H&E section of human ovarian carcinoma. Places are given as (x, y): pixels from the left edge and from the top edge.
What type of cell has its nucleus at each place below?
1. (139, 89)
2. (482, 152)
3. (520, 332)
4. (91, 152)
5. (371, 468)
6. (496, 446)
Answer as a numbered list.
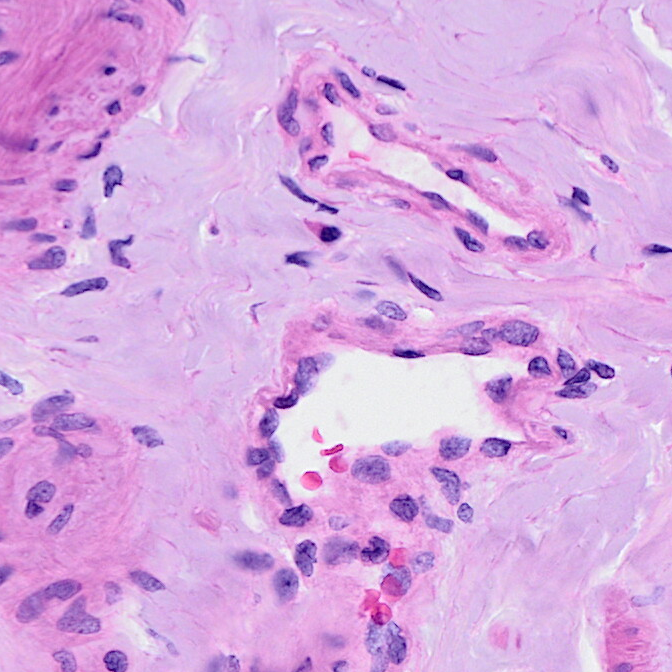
1. smooth muscle cell
2. smooth muscle cell
3. endothelial cell
4. smooth muscle cell
5. endothelial cell
6. endothelial cell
